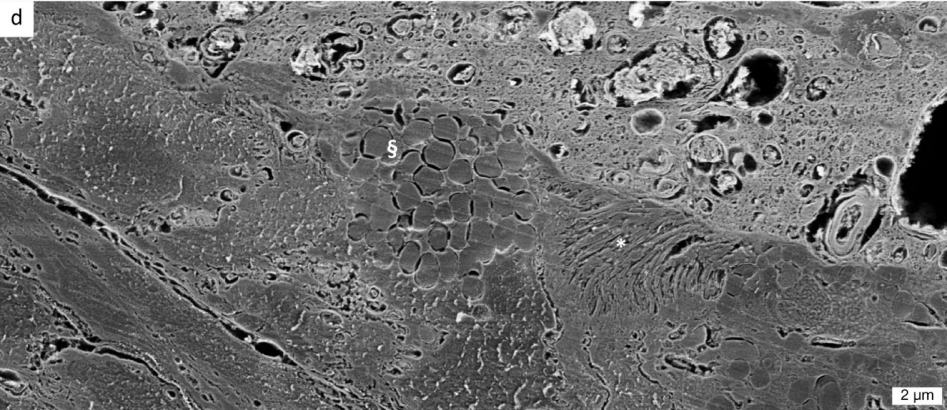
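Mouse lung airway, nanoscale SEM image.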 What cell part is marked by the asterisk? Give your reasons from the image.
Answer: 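A bundle of fine, parallel, elongated filaments. The filaments lie embedded under an overlying dense layer. On this evidence: buried kinocilia.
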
